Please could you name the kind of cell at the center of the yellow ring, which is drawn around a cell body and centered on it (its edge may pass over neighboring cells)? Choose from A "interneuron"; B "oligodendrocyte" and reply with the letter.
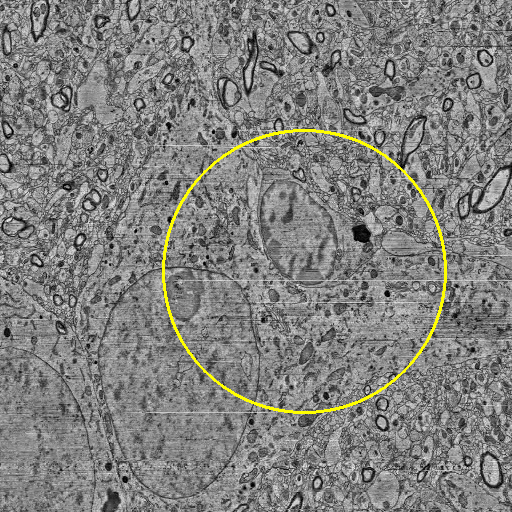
B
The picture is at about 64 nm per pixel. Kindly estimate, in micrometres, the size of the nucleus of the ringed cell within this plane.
In this plane the nucleus is roughly 7 by 5 micrometres, clearly longer than it is wide.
